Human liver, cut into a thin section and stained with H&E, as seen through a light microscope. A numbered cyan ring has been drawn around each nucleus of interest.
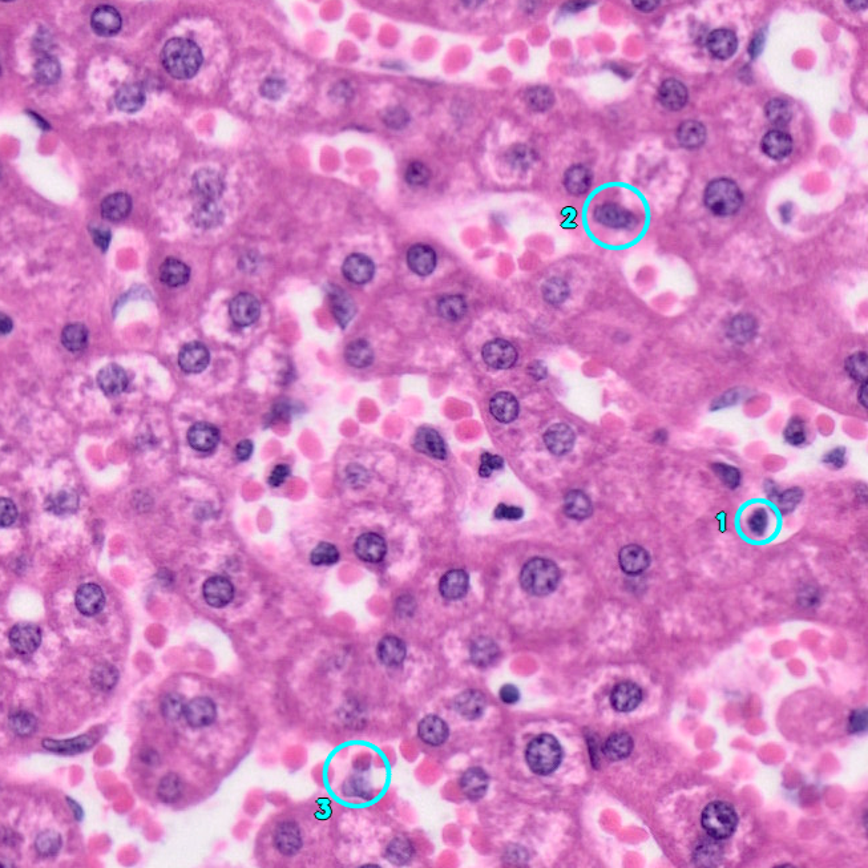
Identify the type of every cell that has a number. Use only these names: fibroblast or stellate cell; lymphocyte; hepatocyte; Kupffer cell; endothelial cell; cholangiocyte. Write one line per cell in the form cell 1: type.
cell 1: lymphocyte
cell 2: fibroblast or stellate cell
cell 3: endothelial cell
